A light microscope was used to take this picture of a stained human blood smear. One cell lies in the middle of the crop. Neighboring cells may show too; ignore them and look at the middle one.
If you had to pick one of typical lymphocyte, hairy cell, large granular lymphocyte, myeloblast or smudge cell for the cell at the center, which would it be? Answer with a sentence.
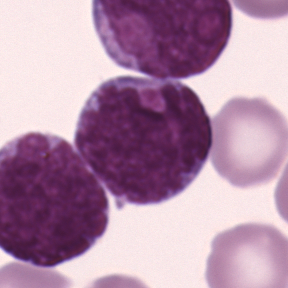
The cell of interest, in the center, is a myeloblast.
